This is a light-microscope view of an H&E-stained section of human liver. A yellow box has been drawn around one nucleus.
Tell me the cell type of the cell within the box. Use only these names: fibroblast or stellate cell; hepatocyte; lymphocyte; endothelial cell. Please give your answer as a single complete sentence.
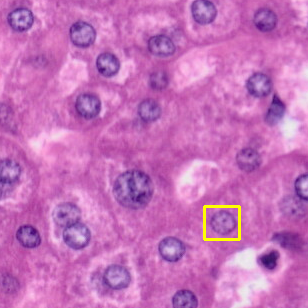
It is as a hepatocyte that the cell within the box is classified.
